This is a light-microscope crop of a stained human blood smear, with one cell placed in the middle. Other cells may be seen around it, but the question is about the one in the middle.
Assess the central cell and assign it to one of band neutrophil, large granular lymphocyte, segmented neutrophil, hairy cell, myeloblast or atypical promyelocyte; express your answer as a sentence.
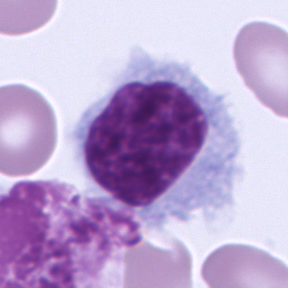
The middle of this crop is occupied by a hairy cell.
